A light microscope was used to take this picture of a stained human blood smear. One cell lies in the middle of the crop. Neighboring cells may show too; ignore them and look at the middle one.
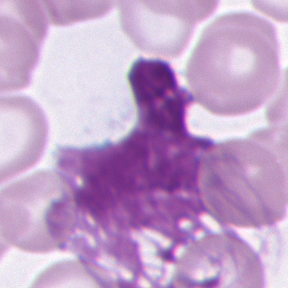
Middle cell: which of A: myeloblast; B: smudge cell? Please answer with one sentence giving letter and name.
Answer key: option B, the middle cell being a smudge cell.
